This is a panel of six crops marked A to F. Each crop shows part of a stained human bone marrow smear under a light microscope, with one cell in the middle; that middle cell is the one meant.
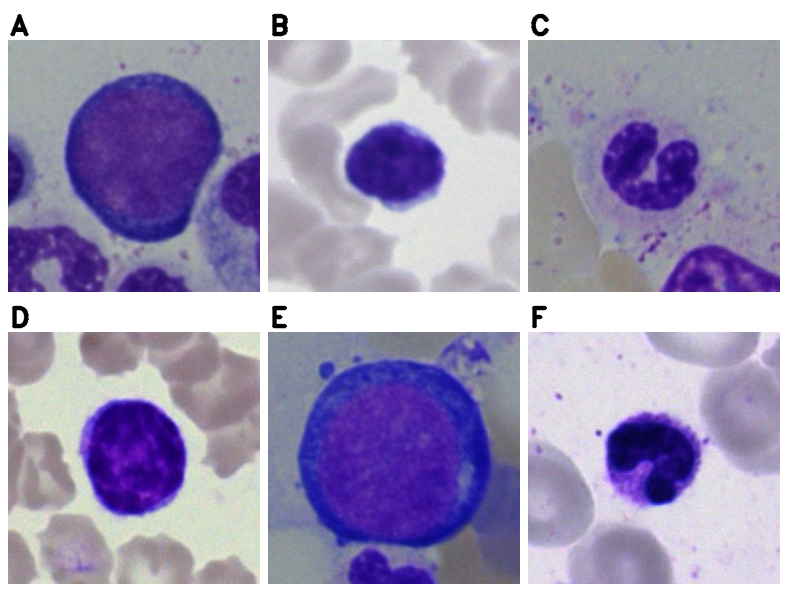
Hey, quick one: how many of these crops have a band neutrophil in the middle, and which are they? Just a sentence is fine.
Zero is the number of band neutrophils, as no crop shows any of them.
